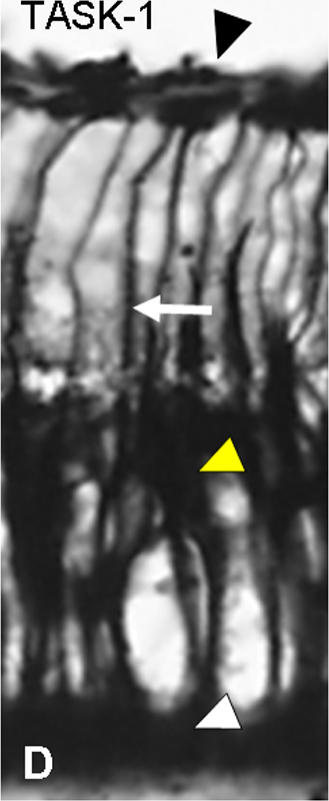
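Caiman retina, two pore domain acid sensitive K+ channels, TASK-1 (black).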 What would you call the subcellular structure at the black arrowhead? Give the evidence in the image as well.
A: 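Endfeet. The arrowhead points at the dark band along the top surface of the tissue. The radial dark fibres fan out and join this band.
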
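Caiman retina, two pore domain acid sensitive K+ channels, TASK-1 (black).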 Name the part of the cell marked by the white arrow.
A: Stalks.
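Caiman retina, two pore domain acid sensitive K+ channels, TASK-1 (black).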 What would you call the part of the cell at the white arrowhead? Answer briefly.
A: distal processes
